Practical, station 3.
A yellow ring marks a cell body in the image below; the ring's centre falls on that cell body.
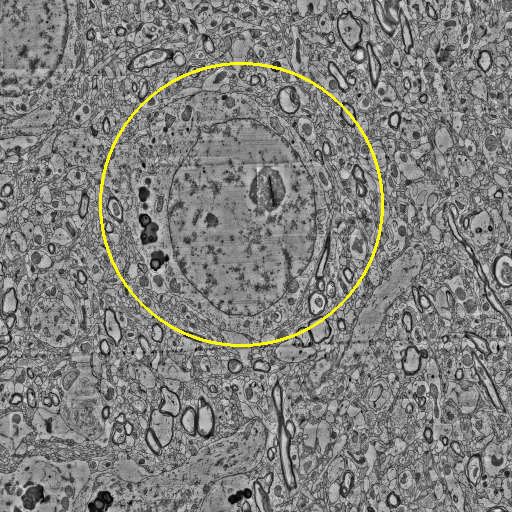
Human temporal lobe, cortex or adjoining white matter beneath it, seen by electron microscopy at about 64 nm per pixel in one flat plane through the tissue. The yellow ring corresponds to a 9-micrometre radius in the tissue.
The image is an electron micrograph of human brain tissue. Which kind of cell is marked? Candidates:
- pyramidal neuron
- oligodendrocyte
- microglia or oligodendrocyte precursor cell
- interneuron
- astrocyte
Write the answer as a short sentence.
The marked cell body is that of a pyramidal neuron.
